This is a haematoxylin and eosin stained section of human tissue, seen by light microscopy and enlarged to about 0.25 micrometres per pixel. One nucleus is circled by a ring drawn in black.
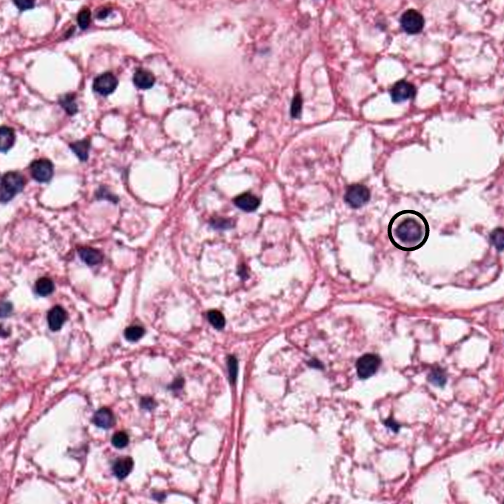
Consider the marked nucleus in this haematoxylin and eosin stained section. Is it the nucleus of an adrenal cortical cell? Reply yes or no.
yes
